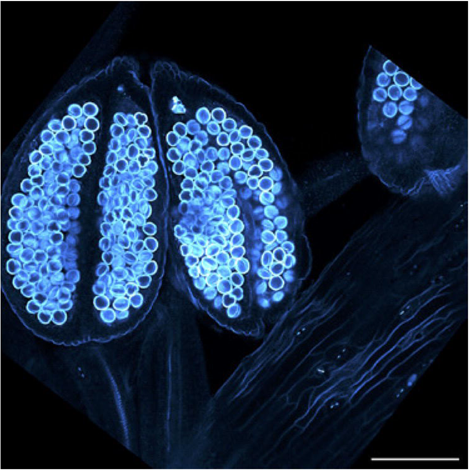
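An anther seen in fluorescence, with its lobes packed with pollen grains. Four elongated pollen sacs lie side by side, each bounded by a thin wall of flattened cells. Inside, the sacs are crowded with many round, evenly sized grains, each with a bright blue rim and a darker centre, so that the loculi look like bags of beads. Beside the anther lie parts of the filament and other floral tissues with long narrow cells, and a second, smaller anther with bright grains appears at the upper right corner.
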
